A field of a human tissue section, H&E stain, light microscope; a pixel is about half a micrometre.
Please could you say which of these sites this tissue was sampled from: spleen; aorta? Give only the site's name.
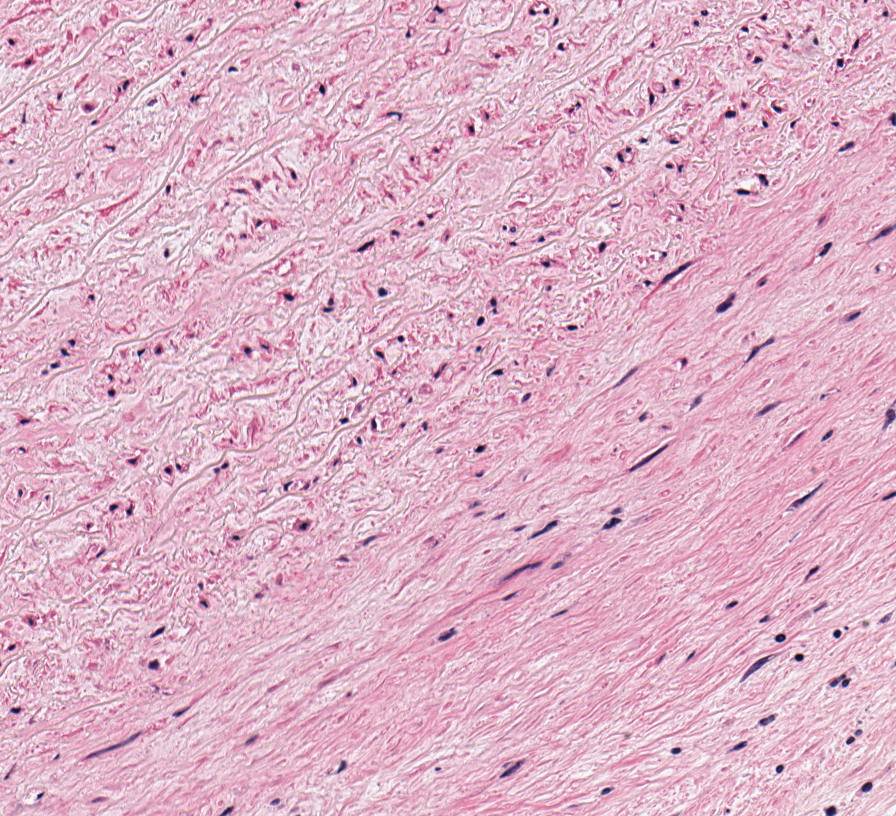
aorta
